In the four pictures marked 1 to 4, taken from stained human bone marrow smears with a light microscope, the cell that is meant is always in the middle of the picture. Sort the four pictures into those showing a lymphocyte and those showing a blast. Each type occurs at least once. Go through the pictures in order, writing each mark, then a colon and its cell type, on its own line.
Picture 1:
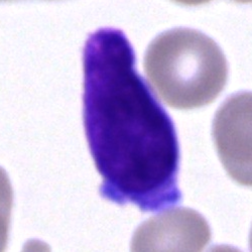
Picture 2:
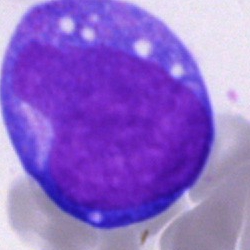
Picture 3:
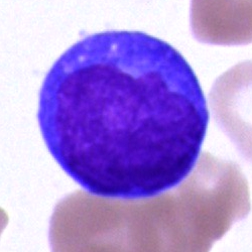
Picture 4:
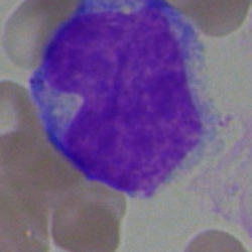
1: lymphocyte
2: blast
3: blast
4: blast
